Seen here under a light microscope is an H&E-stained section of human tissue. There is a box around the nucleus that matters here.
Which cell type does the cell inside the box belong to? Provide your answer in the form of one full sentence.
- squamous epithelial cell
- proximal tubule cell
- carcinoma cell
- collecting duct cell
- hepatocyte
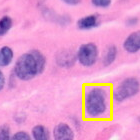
To be brief about it, the cell inside the box is a collecting duct cell.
